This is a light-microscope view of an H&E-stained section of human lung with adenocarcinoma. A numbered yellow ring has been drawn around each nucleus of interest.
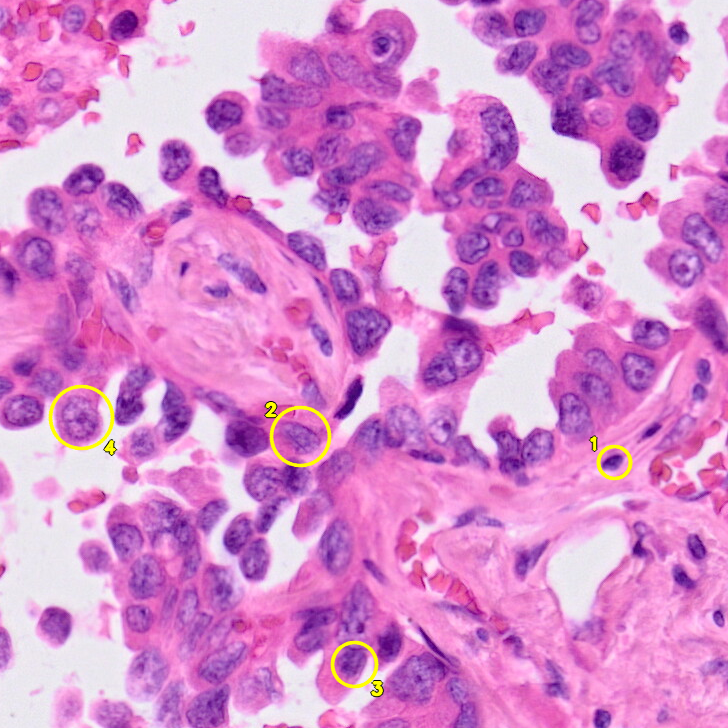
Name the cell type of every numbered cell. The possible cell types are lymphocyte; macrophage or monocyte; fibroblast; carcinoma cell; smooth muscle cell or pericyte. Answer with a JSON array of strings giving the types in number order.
["lymphocyte", "carcinoma cell", "carcinoma cell", "carcinoma cell"]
